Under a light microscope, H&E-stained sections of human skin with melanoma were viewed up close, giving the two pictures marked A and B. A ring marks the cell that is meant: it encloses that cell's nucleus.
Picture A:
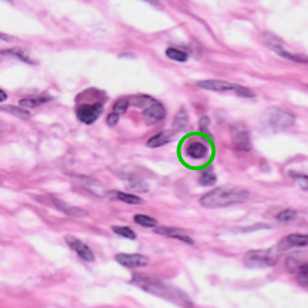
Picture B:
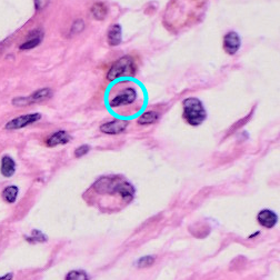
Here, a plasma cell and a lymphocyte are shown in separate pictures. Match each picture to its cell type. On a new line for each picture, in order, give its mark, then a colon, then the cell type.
A: plasma cell
B: lymphocyte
